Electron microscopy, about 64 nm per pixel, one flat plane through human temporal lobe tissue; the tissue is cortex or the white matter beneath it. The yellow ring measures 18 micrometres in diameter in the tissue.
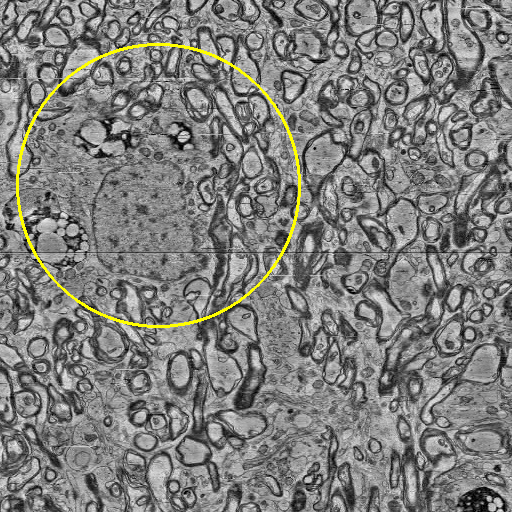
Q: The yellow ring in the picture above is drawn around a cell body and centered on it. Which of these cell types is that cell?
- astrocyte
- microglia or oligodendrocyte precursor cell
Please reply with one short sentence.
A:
The cell body at the ring's center belongs to an astrocyte.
